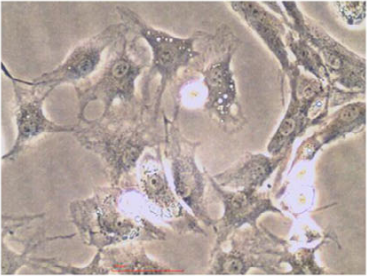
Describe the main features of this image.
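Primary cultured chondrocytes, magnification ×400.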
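The cells are polygonal to stellate, with granular cytoplasm and short processes that reach and touch neighbouring cells. Each has a round to oval nucleus near the centre with one or more distinct nucleoli. A few cells appear rounded and brightly refractile, standing out against the flatter cells around them.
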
